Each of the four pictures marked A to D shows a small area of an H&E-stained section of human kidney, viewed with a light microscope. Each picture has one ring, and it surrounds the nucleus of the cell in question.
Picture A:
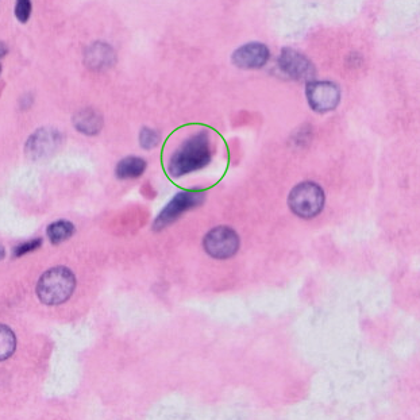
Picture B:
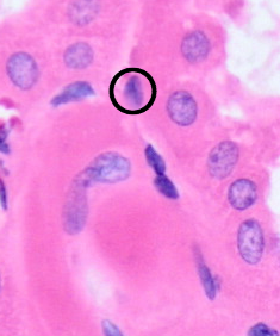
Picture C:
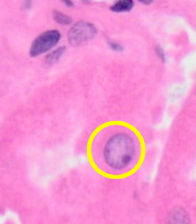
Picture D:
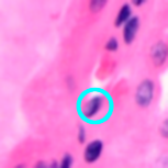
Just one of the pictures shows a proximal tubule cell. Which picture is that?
C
